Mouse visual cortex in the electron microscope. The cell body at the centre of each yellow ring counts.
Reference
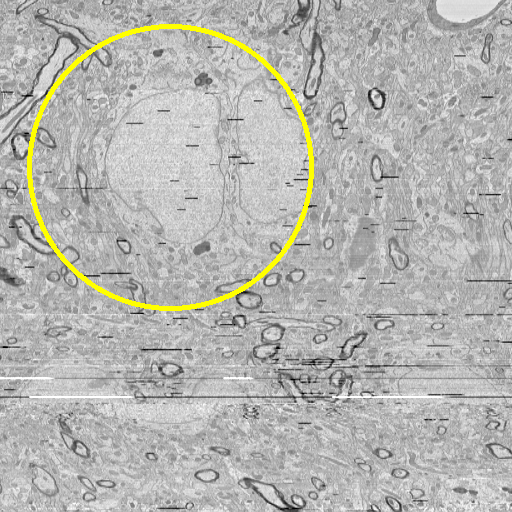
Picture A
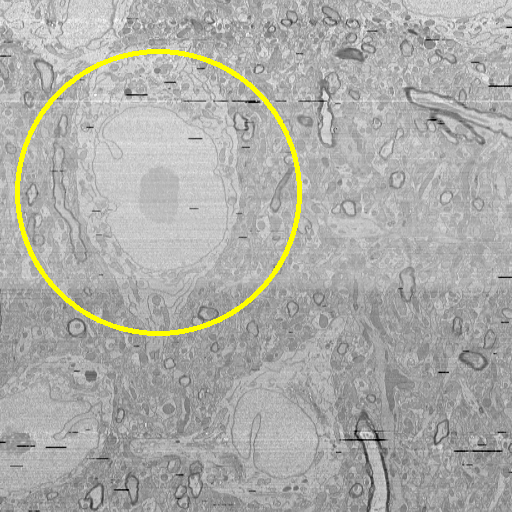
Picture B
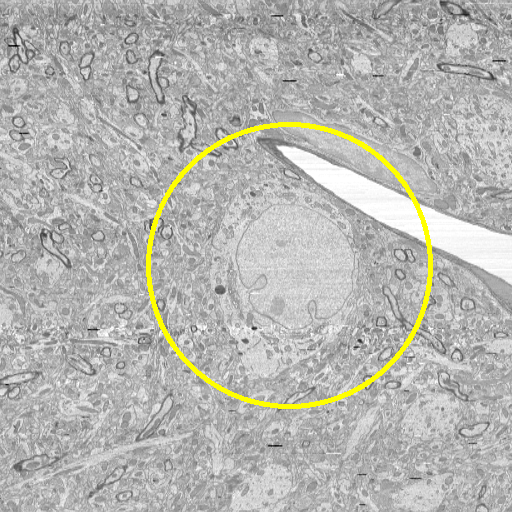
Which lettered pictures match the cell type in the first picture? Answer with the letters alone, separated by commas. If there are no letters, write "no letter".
A, B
